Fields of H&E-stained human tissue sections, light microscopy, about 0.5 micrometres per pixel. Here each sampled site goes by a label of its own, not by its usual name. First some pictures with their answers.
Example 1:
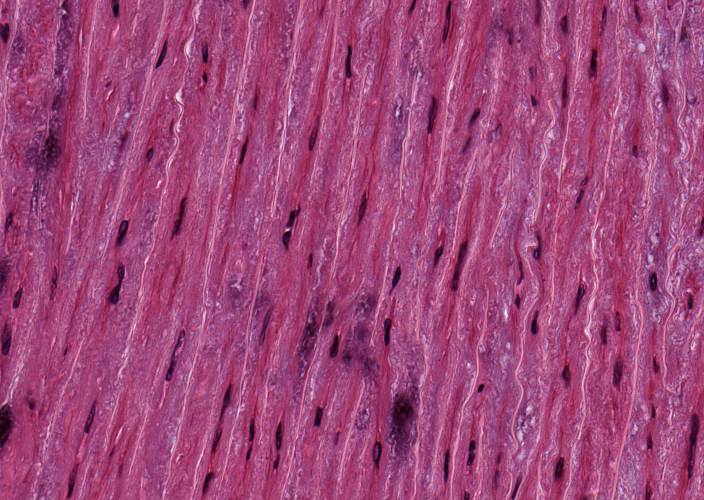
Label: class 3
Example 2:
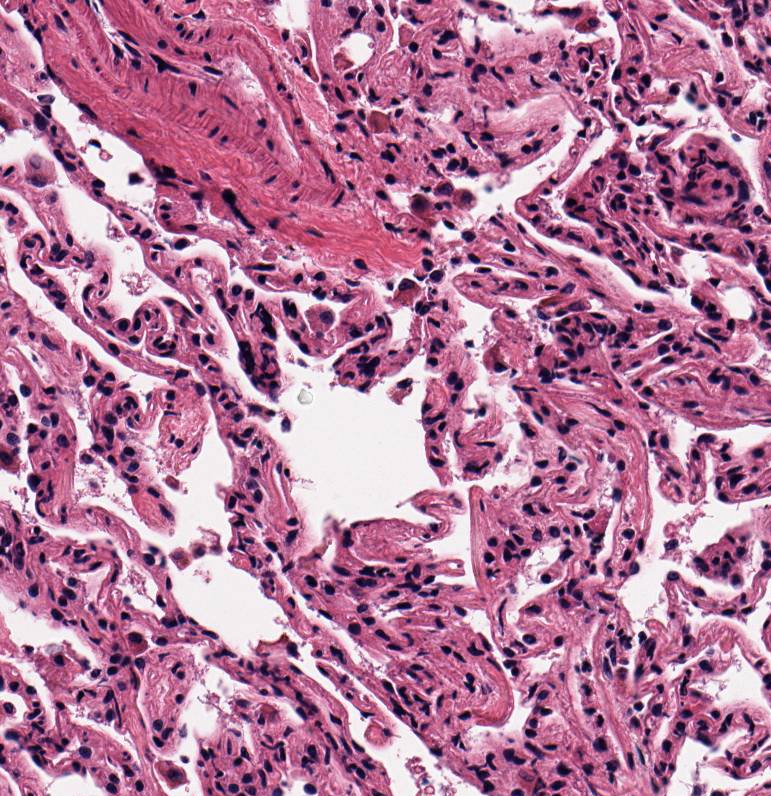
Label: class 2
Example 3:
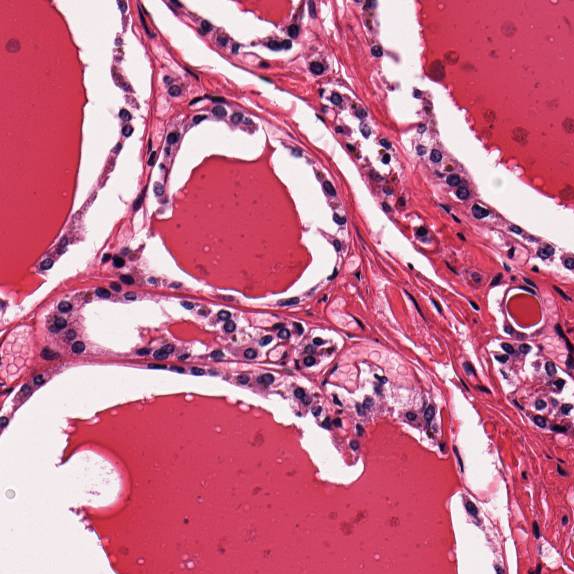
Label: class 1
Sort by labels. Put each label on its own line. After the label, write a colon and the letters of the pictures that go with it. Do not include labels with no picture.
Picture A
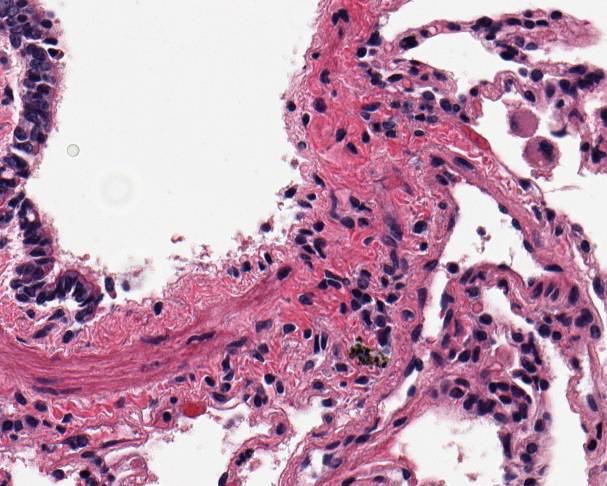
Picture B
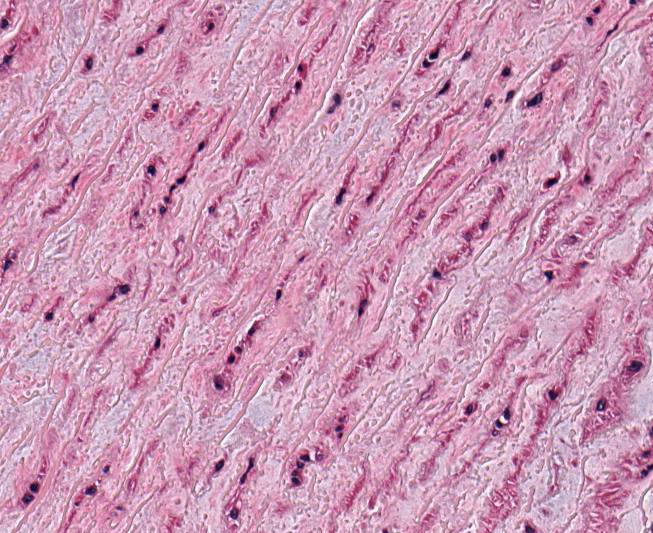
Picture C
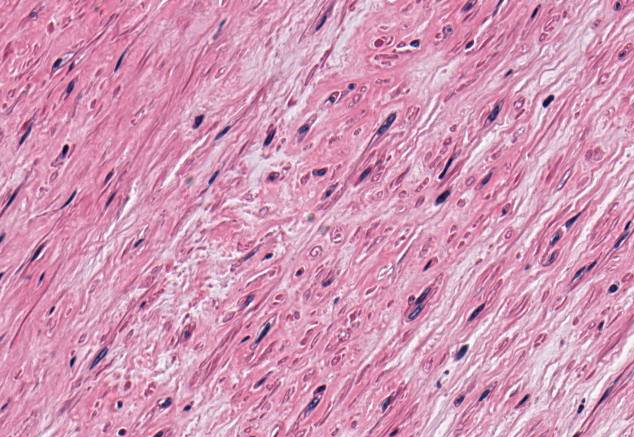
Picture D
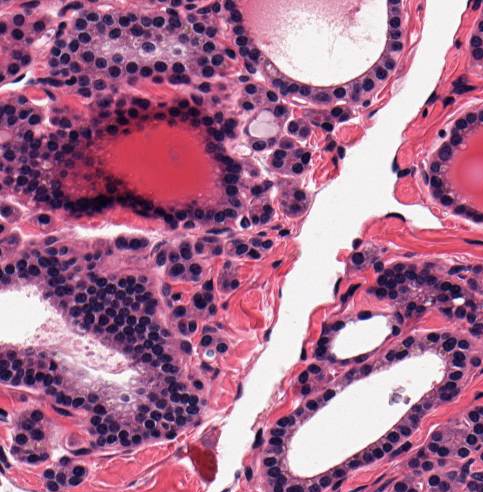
class 3: B, C
class 2: A
class 1: D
